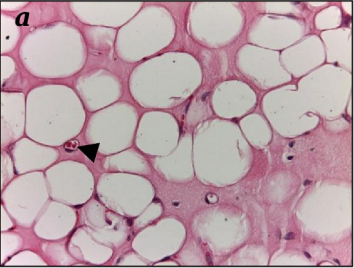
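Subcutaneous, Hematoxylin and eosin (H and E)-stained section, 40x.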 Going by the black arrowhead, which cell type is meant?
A: Erythrocytes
